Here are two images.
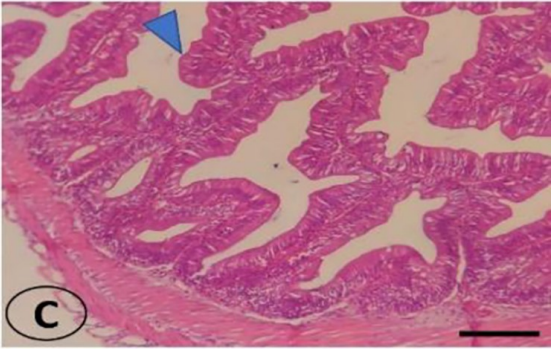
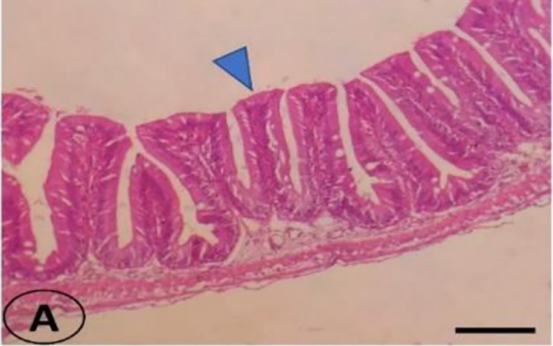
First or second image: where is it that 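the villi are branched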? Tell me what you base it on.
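The first image. First image: the mucosal folds divide into several side branches and crowd the lumen. Second image: the folds are simple, unbranched and set side by side like fingers.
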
